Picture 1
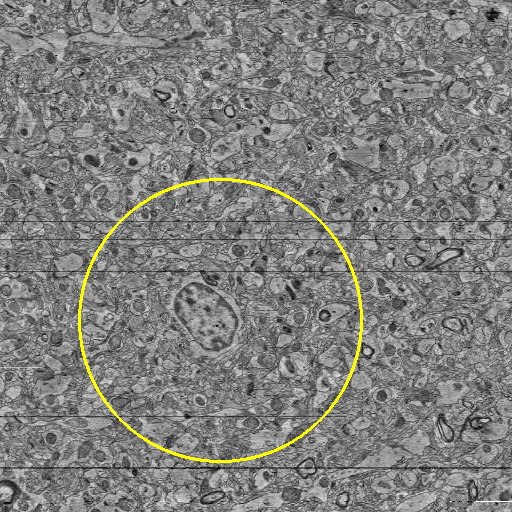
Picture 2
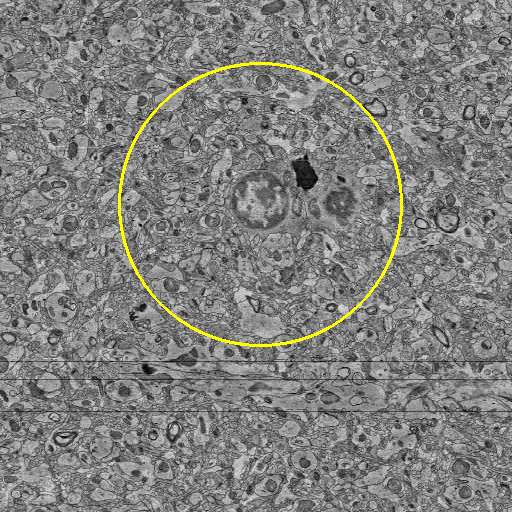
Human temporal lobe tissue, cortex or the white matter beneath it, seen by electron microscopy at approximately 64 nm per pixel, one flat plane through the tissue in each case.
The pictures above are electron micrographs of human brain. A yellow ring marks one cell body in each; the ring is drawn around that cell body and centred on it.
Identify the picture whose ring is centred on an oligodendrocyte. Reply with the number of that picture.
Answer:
2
